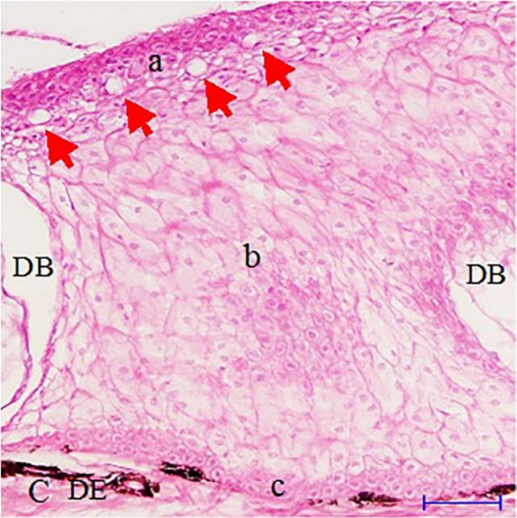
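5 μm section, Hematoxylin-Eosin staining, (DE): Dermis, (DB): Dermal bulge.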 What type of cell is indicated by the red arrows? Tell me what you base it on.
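The arrows point to round, clear, empty-looking cells. These cells lie in the upper zone of the epidermis among small, densely packed, dark-nucleated cells. So: Mucous cells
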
